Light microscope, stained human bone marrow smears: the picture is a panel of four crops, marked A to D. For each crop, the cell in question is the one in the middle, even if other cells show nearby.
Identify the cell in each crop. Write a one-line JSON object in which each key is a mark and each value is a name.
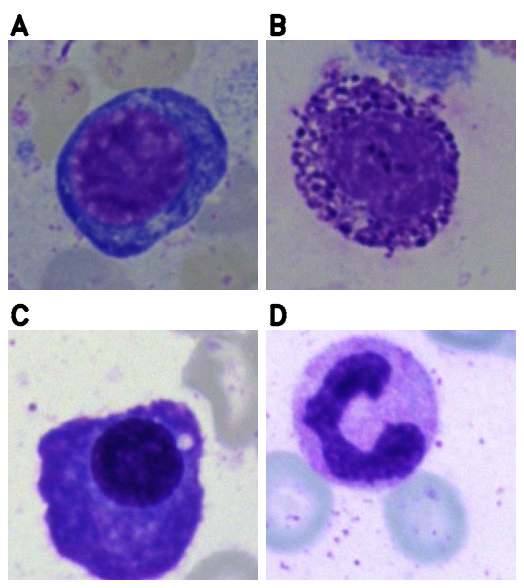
{"A": "proerythroblast", "B": "basophil", "C": "plasma cell", "D": "segmented neutrophil"}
